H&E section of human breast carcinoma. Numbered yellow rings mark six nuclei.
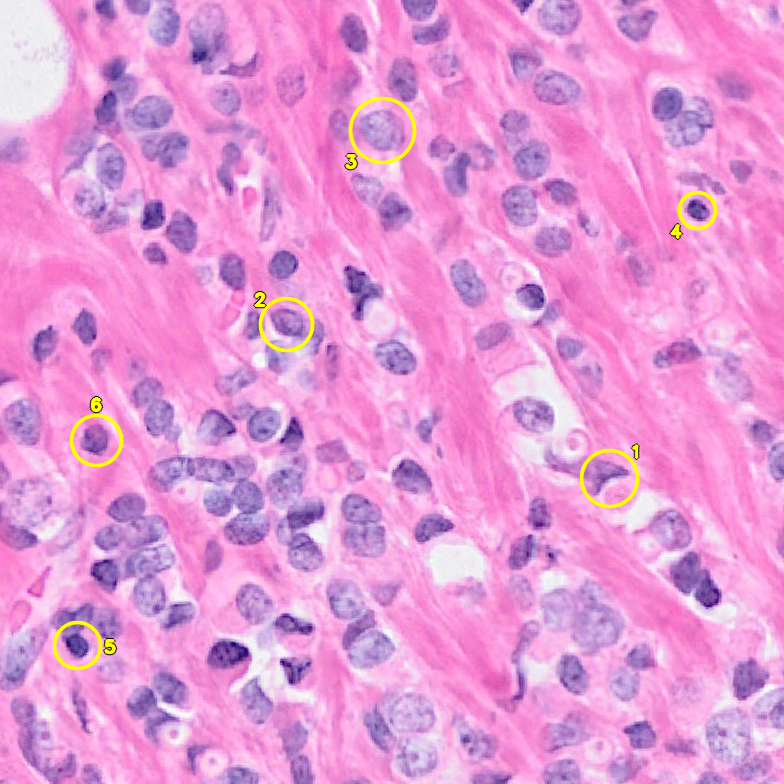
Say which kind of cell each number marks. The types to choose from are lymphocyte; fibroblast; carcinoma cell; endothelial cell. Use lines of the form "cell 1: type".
cell 1: fibroblast
cell 2: carcinoma cell
cell 3: carcinoma cell
cell 4: lymphocyte
cell 5: lymphocyte
cell 6: carcinoma cell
